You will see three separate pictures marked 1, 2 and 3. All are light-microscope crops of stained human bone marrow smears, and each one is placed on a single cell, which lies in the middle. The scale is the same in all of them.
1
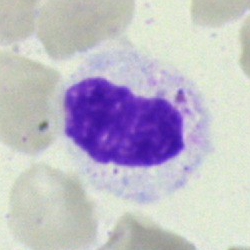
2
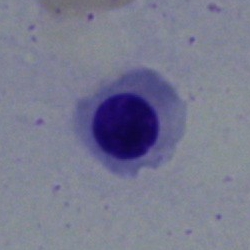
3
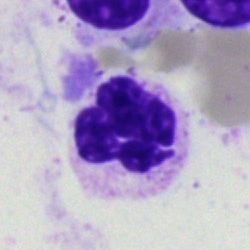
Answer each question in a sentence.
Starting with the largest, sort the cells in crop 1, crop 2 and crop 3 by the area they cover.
Going down, they run 1, 3, 2.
